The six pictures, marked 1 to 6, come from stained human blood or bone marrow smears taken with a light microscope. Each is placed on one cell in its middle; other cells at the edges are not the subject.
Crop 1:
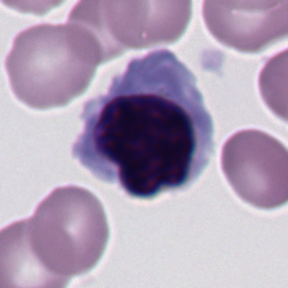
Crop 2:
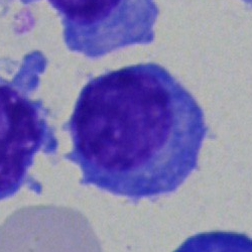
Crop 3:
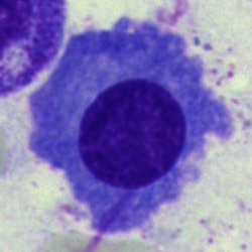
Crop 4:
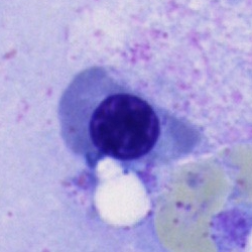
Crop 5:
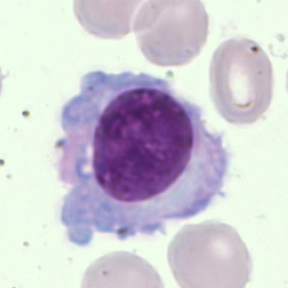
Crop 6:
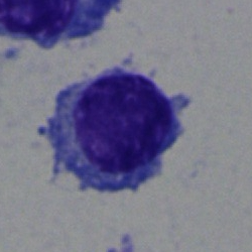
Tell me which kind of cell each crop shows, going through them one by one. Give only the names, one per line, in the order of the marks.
normoblast
plasma cell
plasma cell
normoblast
plasma cell
plasma cell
